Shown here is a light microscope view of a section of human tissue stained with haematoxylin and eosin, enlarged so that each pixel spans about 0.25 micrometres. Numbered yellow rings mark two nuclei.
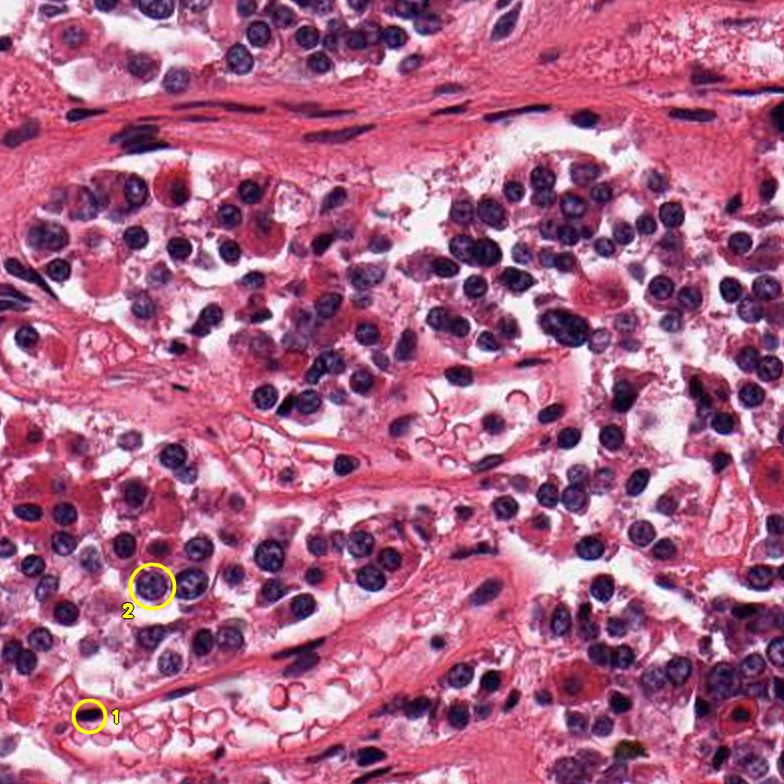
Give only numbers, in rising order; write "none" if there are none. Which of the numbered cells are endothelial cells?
1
